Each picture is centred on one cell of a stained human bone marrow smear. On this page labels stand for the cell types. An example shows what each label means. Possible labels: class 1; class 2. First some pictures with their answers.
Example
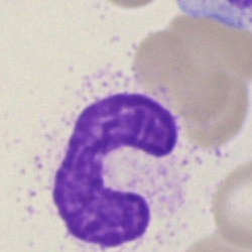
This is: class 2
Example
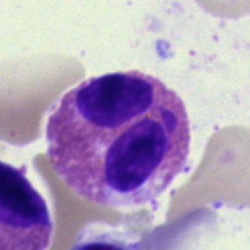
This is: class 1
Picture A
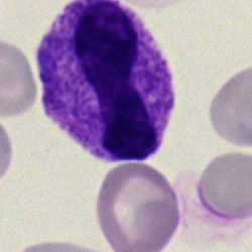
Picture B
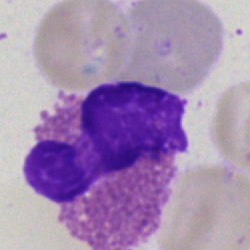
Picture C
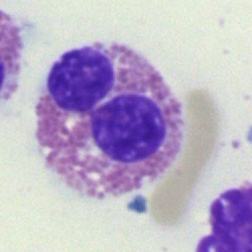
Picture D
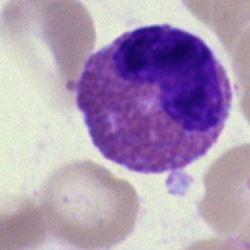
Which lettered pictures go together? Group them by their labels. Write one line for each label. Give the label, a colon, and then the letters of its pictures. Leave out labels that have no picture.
class 1: B, C, D
class 2: A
